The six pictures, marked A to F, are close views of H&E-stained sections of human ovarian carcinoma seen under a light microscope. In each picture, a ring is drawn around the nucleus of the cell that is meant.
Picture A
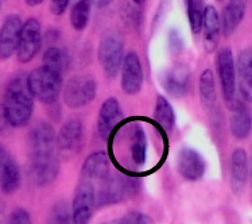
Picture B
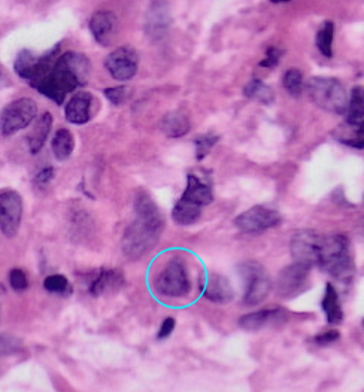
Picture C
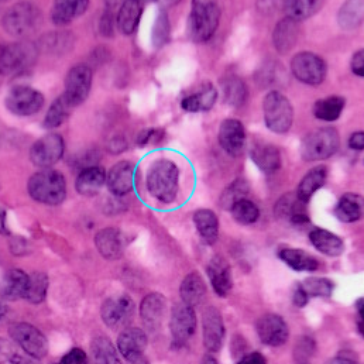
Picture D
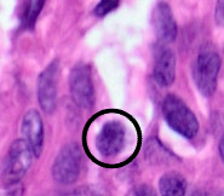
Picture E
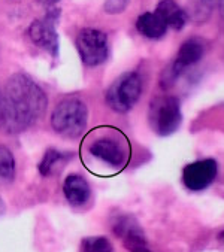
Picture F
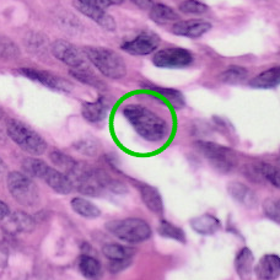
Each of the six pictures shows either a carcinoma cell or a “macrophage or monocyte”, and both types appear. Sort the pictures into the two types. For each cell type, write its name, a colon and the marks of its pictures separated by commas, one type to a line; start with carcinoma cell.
carcinoma cell: A, B, E, F
macrophage or monocyte: C, D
